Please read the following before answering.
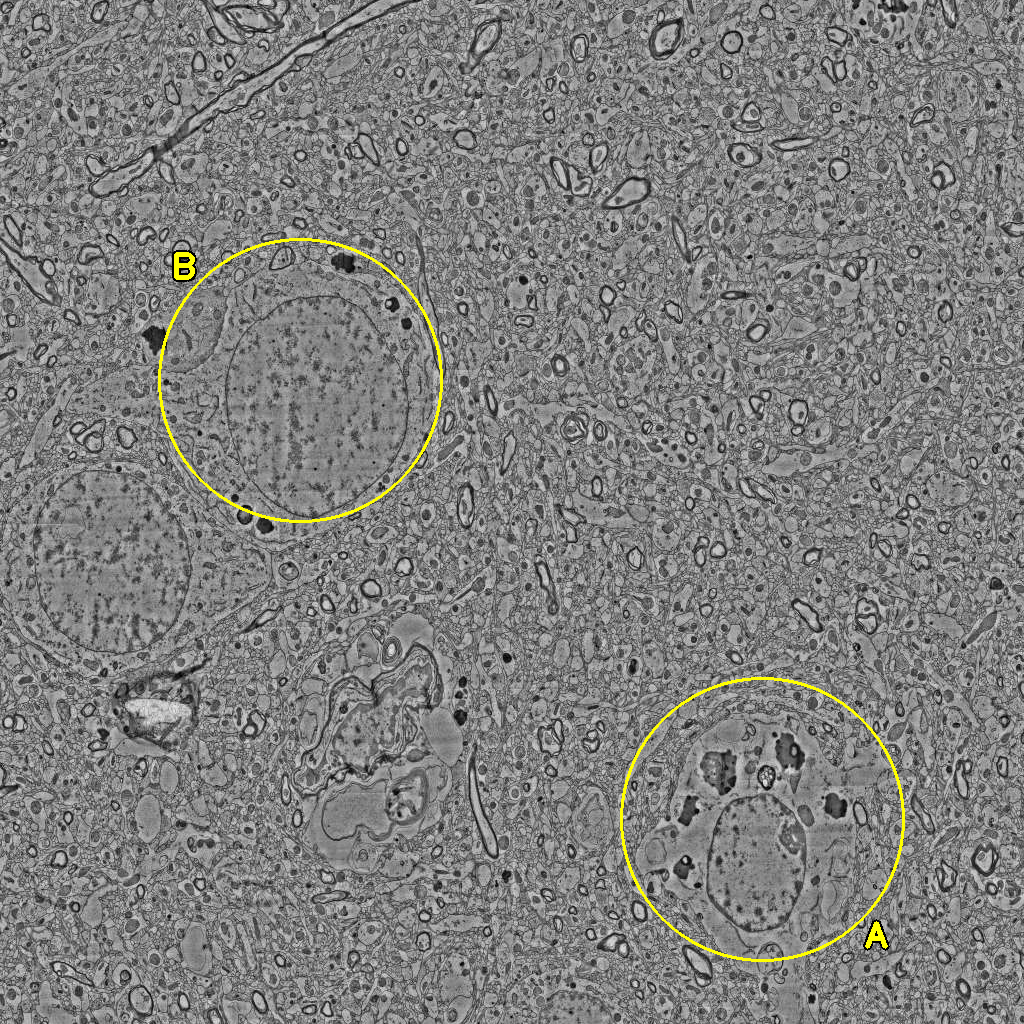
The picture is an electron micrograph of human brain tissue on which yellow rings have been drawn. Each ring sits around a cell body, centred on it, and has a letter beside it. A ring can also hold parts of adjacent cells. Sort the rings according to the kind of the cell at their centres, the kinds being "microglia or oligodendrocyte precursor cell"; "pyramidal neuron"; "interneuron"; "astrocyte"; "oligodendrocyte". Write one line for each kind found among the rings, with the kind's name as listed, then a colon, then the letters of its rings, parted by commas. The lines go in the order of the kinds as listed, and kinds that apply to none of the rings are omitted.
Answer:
pyramidal neuron: B
astrocyte: A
